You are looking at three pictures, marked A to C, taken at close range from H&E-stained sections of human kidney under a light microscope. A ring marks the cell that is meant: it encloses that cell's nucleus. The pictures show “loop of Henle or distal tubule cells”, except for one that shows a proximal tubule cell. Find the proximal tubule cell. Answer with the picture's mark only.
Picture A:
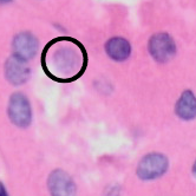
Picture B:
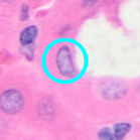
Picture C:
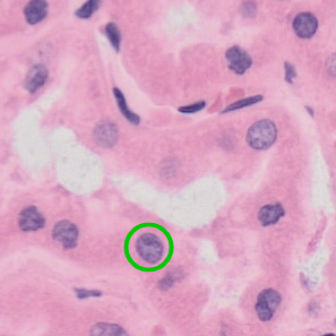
C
